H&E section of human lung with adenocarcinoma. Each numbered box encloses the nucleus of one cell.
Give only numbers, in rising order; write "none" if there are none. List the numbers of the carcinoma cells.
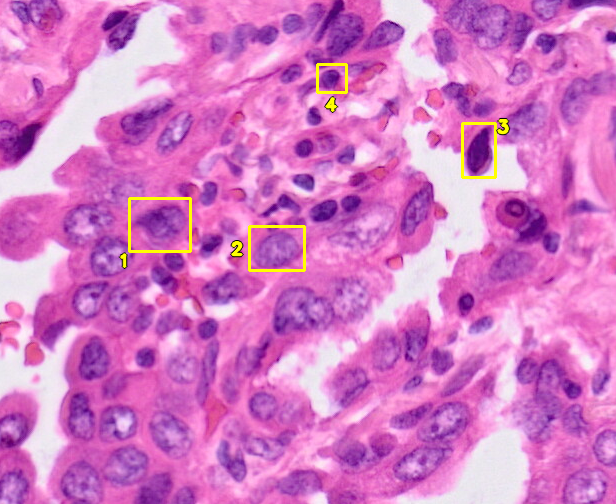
1, 2, 3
